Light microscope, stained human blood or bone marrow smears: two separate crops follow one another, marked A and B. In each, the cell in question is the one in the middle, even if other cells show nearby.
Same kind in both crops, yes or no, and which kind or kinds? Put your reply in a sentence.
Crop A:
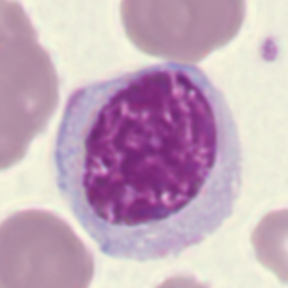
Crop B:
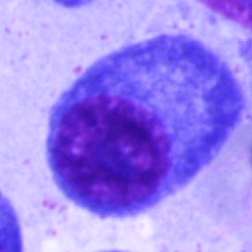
Yes, at the centre of both crops are plasma cells.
